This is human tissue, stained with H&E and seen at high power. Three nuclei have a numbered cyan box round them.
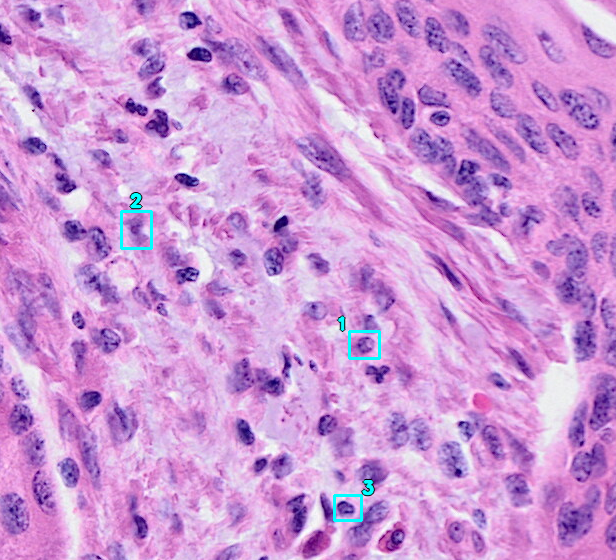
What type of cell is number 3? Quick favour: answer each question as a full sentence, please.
The one numbered 3 among the marked cells is a lymphocyte.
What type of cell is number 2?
In this section, number 2 marks a fibroblast.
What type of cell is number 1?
Cell 1 is classified as a macrophage or monocyte.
